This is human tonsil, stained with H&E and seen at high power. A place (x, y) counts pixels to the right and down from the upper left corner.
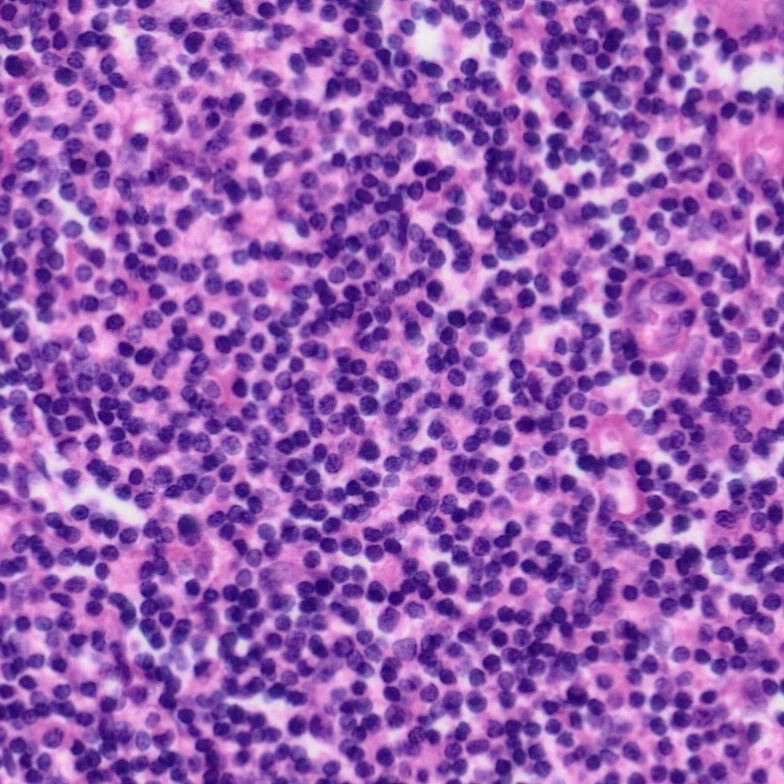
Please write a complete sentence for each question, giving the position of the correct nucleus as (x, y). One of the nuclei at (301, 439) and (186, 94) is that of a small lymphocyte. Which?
The nucleus contained in a small lymphocyte is the one at (301, 439).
